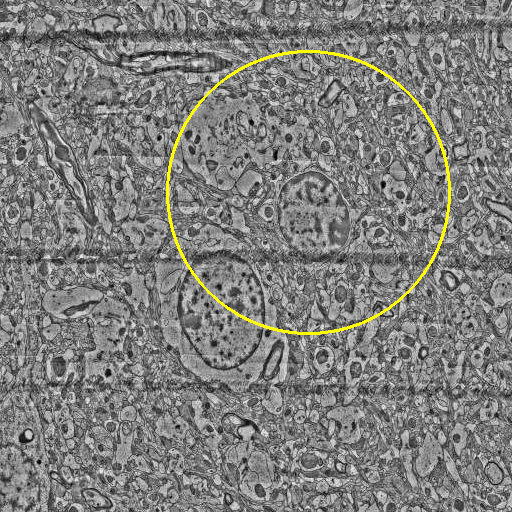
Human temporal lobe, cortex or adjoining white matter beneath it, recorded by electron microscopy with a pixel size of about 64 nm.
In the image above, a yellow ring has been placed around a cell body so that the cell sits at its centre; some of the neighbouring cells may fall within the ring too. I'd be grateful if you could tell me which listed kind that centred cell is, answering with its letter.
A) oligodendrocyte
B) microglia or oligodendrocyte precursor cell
B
